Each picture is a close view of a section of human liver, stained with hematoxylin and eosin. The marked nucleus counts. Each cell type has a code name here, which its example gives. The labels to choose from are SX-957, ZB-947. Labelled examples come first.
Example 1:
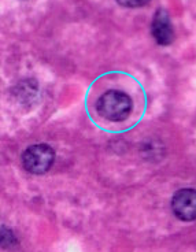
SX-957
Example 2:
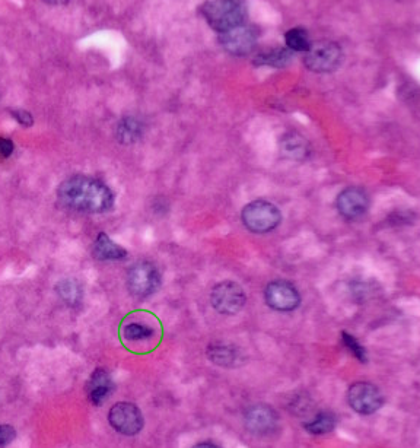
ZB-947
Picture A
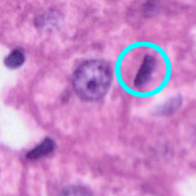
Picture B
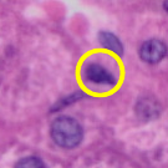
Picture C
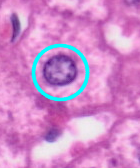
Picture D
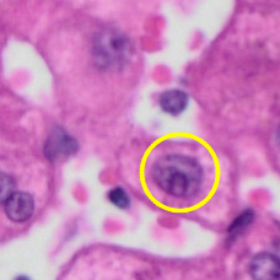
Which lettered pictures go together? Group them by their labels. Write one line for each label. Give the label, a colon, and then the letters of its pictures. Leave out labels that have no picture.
SX-957: C, D
ZB-947: A, B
